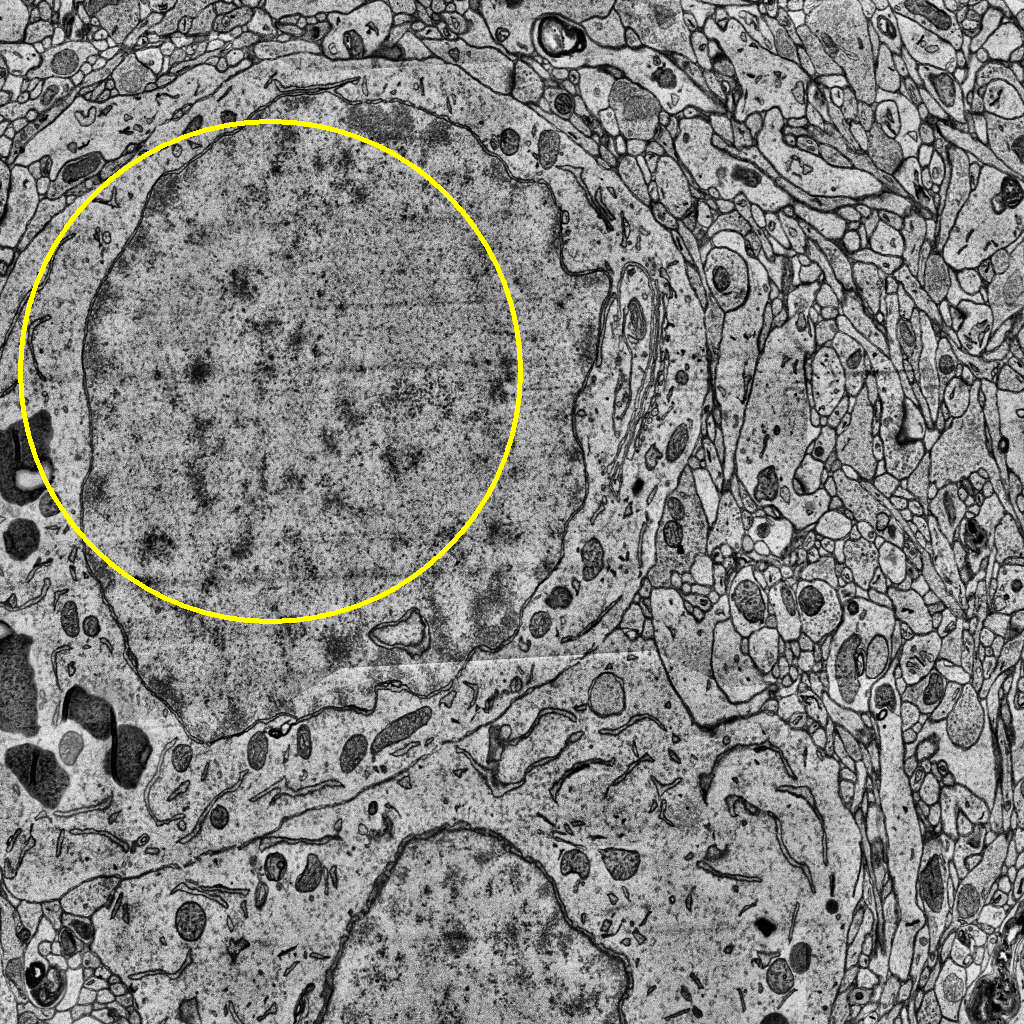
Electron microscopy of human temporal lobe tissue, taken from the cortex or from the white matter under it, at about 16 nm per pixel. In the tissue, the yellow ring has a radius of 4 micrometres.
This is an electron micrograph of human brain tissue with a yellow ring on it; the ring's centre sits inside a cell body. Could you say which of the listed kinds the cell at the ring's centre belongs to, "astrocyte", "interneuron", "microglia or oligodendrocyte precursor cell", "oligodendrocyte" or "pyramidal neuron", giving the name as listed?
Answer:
interneuron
